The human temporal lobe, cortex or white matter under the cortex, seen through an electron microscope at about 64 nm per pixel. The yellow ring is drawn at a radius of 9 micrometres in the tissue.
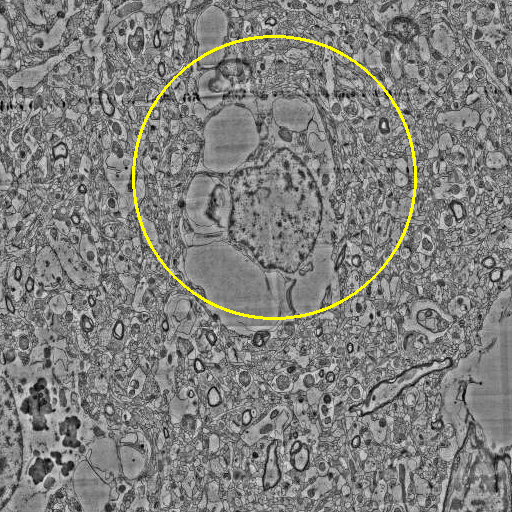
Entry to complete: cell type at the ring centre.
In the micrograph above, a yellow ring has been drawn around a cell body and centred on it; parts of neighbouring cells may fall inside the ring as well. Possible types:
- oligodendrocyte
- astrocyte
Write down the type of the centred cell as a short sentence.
The ring is centred on an astrocyte.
